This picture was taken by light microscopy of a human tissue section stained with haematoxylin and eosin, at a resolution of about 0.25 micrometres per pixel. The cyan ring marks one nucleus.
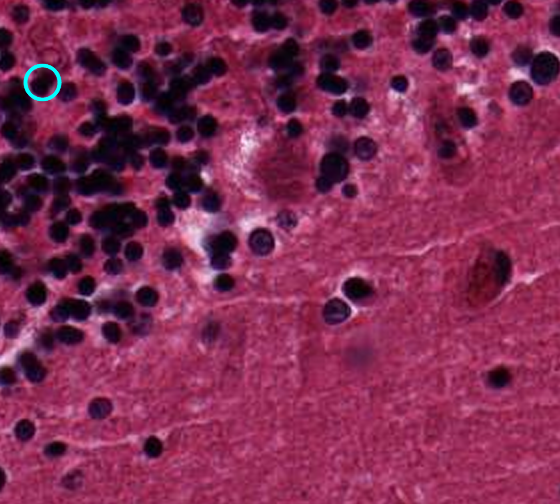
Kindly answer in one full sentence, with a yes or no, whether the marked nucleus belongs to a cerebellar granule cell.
Yes, the cell to which the marked nucleus belongs is a cerebellar granule cell.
